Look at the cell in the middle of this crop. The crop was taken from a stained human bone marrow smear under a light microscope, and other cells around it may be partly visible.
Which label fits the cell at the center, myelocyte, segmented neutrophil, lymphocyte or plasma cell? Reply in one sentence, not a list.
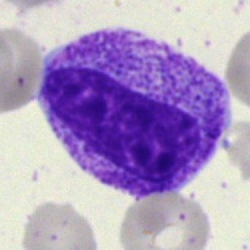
What the crop centres on is a myelocyte.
